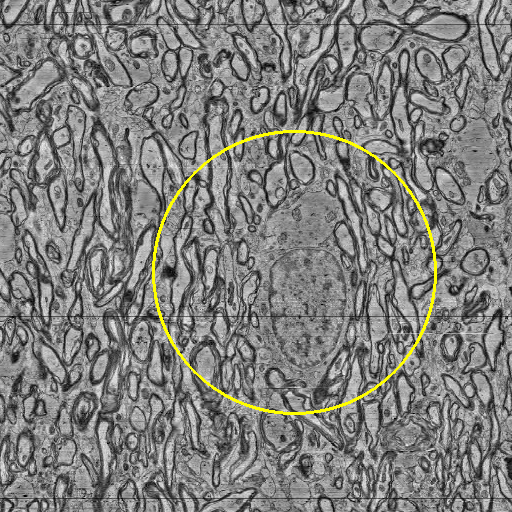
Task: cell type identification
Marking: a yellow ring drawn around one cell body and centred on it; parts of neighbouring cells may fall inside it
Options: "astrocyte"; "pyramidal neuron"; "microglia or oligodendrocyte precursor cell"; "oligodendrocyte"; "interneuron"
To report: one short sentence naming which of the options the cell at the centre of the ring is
The cell at the centre of the ring is an oligodendrocyte.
